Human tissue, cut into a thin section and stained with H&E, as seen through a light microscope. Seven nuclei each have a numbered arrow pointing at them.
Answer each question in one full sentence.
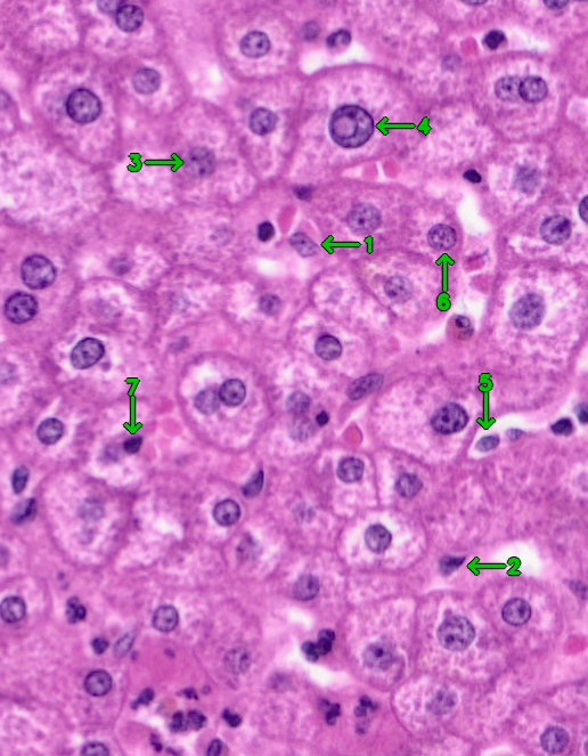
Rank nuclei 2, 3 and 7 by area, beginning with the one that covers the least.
Smallest first, the nuclei run 7, 2, 3.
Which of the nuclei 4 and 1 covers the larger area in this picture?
At about 3 times the area of nucleus 1, nucleus 4 is the larger of the two.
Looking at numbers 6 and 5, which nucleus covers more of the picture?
At about 2 times the area of nucleus 5, nucleus 6 is the larger of the two.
